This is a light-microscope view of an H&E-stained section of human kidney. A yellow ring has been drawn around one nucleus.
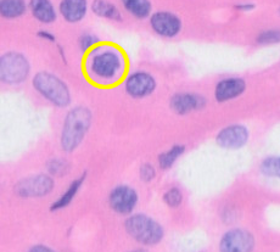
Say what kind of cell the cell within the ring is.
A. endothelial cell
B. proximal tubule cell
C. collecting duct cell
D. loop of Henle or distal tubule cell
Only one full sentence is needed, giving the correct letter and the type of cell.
The correct response is option C: the cell within the ring is a collecting duct cell.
